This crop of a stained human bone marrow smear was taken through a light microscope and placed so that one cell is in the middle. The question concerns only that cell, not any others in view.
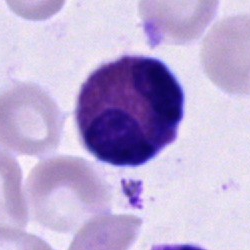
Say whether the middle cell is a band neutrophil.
no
